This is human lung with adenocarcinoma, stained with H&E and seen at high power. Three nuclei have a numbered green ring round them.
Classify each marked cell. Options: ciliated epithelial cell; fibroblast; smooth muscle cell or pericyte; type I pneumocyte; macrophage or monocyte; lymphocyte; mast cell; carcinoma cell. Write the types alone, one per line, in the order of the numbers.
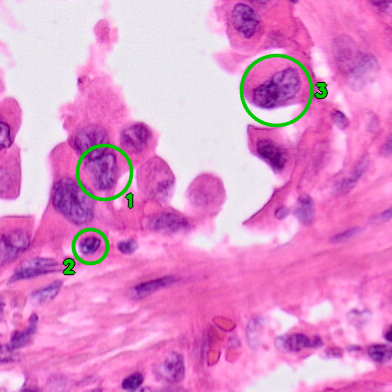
carcinoma cell
lymphocyte
carcinoma cell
